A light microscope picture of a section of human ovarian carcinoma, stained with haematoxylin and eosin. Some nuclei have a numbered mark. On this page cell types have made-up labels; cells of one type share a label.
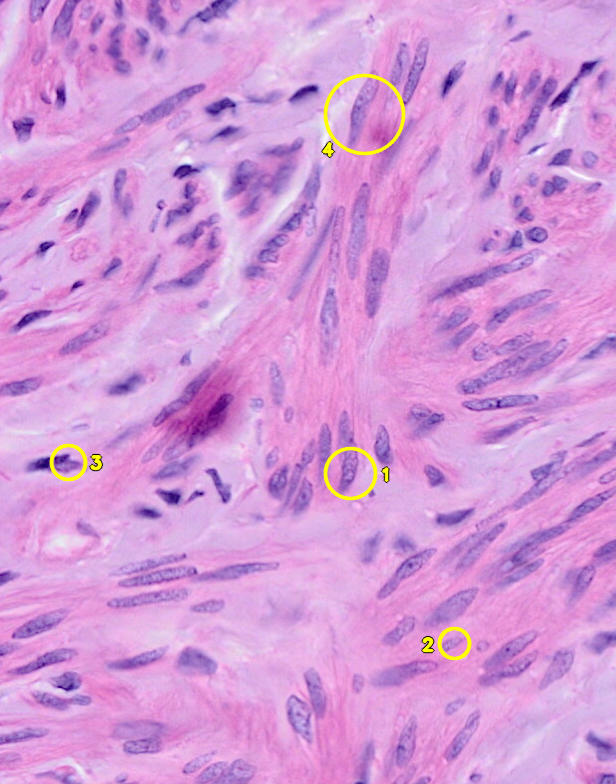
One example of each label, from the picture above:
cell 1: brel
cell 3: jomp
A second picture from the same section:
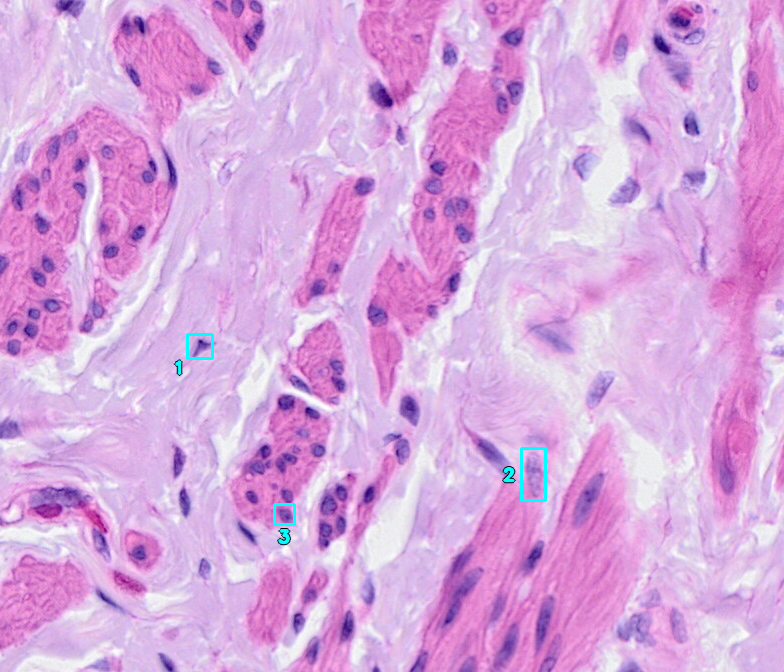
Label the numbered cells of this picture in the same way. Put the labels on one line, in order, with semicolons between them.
jomp; brel; brel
